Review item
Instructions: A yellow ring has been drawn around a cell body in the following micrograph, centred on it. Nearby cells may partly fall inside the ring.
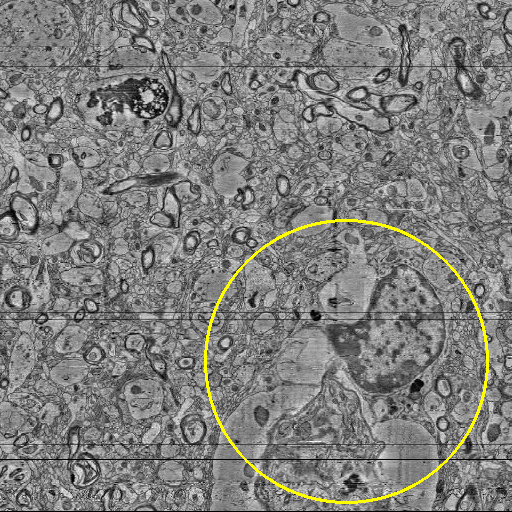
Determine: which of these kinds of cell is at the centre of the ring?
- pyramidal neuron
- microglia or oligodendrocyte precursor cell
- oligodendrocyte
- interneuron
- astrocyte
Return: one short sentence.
The cell body in the middle of the ring is that of a microglial cell or oligodendrocyte precursor cell.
